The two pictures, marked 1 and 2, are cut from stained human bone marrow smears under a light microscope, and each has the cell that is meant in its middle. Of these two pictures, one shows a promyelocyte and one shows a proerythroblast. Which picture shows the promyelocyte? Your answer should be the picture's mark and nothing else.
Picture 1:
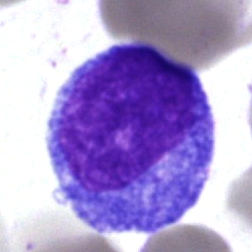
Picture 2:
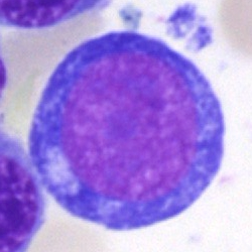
1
